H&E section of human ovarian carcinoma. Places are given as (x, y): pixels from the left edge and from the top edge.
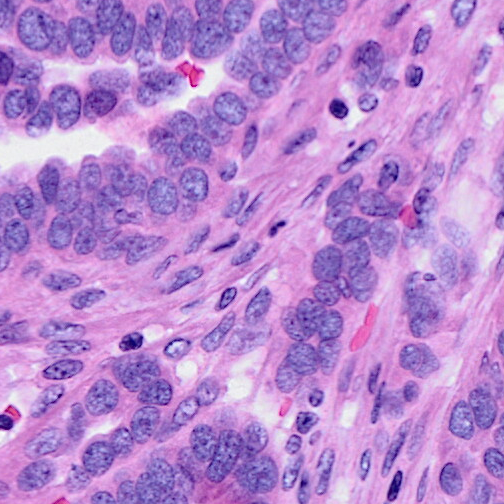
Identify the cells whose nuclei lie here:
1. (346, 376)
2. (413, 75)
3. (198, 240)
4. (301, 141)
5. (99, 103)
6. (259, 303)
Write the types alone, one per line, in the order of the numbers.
fibroblast
lymphocyte
fibroblast
fibroblast
carcinoma cell
fibroblast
